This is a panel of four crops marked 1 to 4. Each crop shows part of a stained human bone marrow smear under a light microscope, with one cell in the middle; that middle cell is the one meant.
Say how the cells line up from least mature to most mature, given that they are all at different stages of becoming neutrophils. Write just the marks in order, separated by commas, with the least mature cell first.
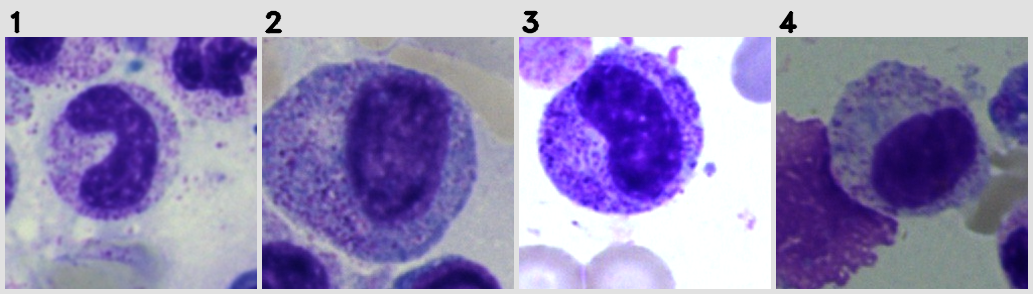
2, 4, 3, 1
